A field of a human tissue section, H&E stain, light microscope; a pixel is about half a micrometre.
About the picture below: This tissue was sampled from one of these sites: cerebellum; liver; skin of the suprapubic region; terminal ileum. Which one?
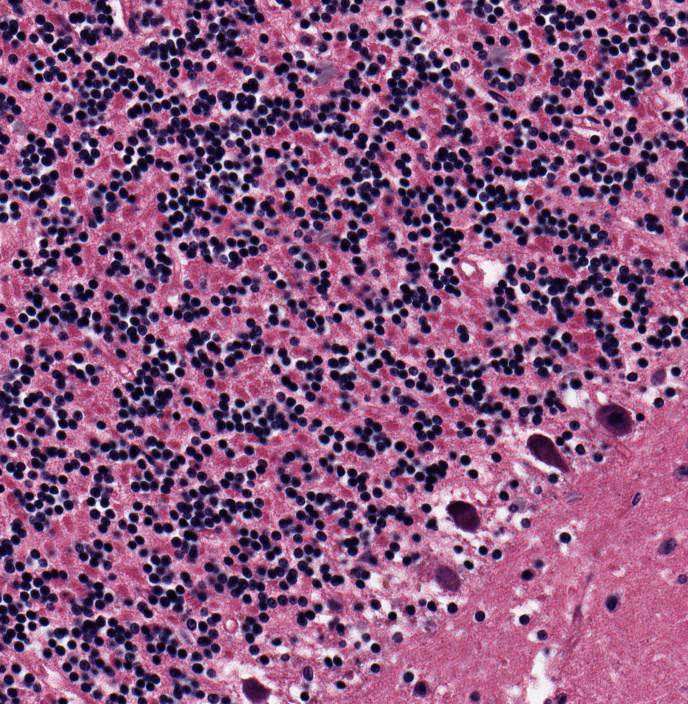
cerebellum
